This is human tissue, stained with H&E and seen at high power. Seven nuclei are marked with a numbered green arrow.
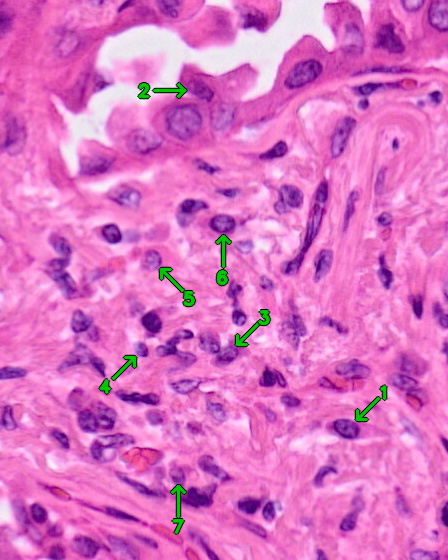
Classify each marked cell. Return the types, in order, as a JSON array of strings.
["plasma cell", "carcinoma cell", "plasma cell", "lymphocyte", "mast cell", "plasma cell", "plasma cell"]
